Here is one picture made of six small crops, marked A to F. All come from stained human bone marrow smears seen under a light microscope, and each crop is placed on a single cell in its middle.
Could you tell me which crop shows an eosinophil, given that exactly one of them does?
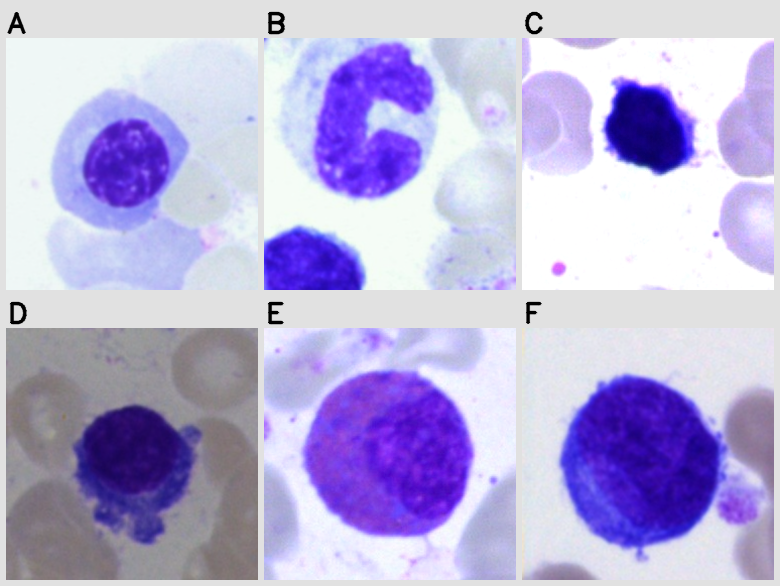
E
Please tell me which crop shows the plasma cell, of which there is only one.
D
